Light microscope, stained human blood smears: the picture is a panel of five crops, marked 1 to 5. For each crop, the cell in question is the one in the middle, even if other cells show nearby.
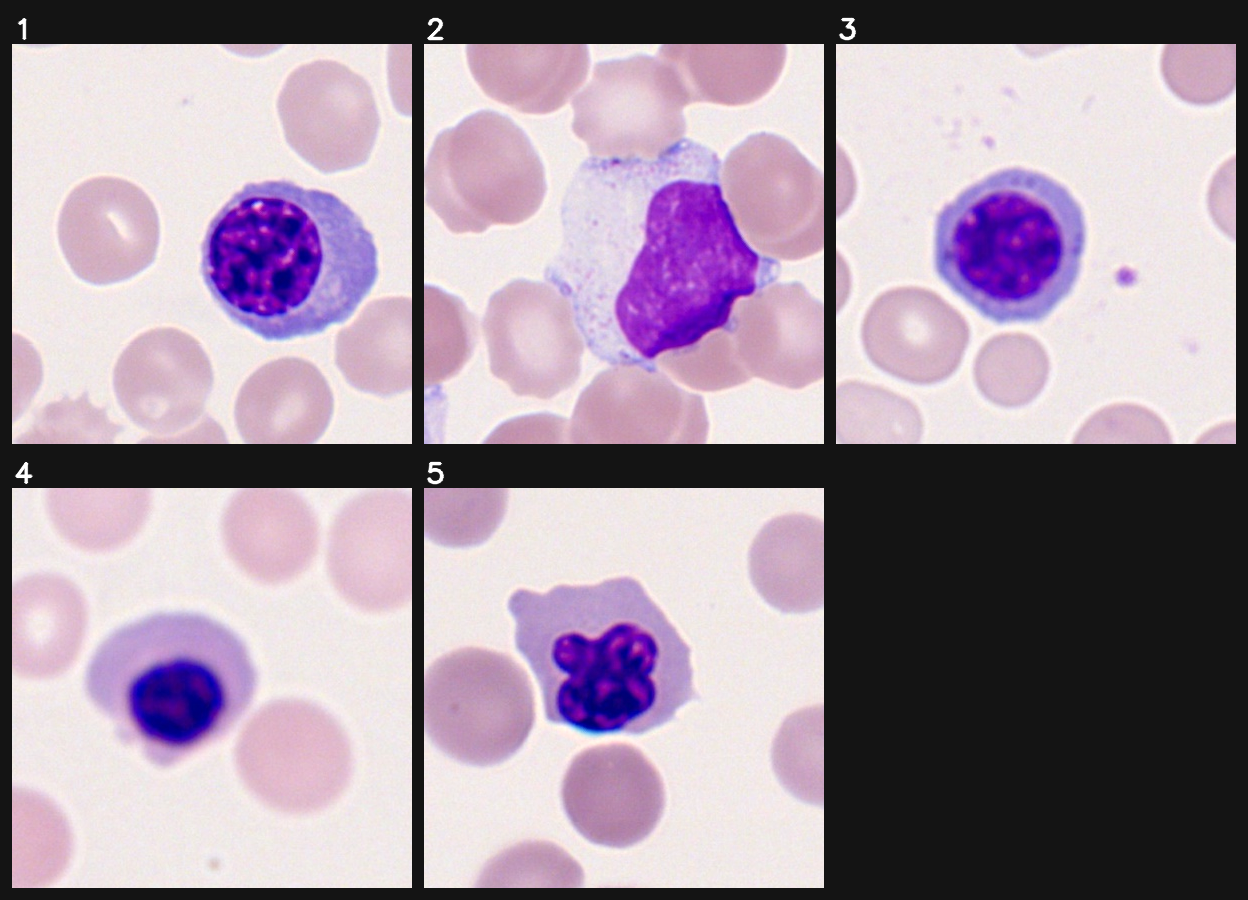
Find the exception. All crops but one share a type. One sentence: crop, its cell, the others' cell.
What sets crop 2 apart is that it is a lymphocyte; the others are all normoblasts.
